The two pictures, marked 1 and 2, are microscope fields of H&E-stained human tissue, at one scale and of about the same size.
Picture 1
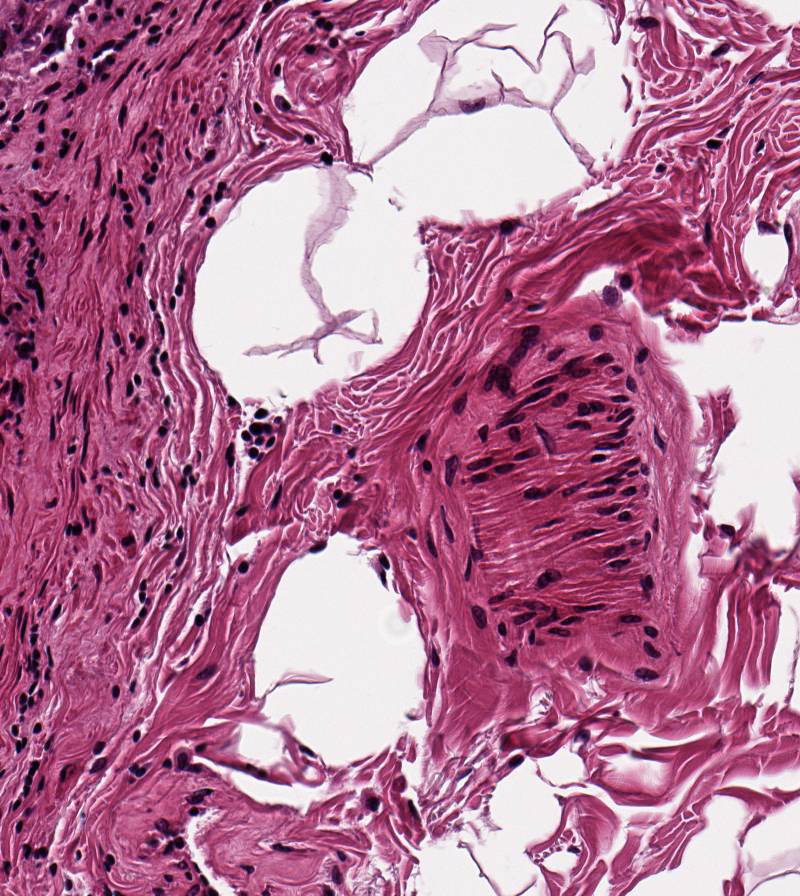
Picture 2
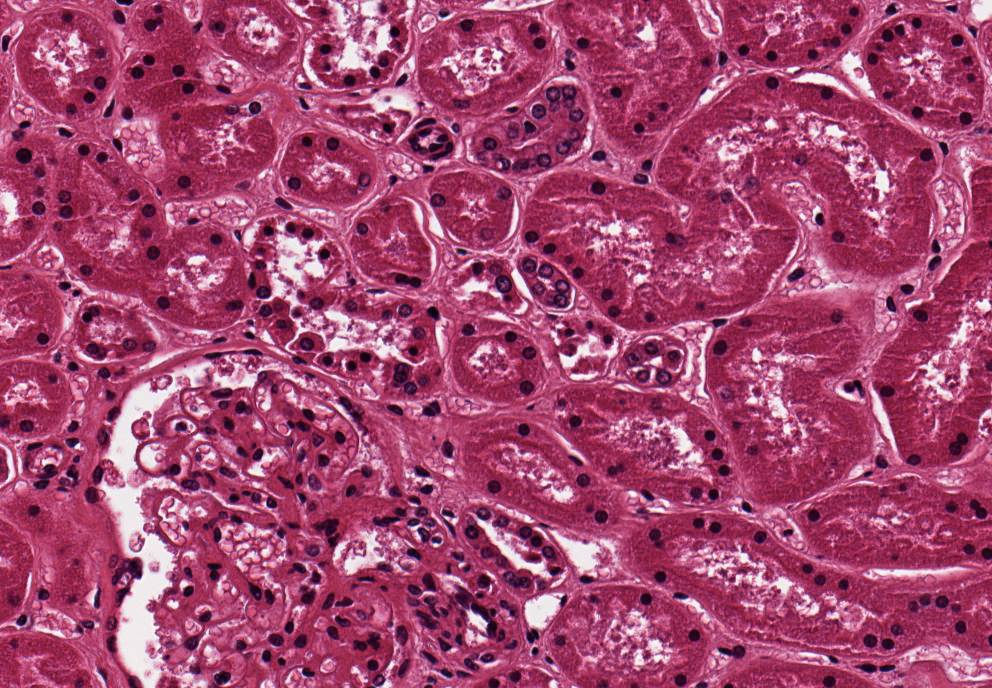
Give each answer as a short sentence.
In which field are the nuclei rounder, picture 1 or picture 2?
The nuclei are rounder in picture 2.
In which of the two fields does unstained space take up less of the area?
It is picture 2 that stained tissue fills more completely.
